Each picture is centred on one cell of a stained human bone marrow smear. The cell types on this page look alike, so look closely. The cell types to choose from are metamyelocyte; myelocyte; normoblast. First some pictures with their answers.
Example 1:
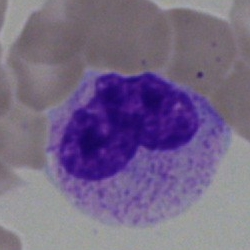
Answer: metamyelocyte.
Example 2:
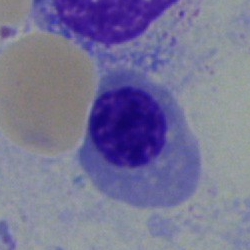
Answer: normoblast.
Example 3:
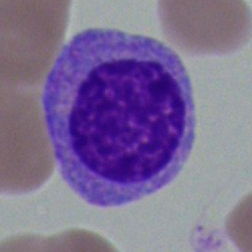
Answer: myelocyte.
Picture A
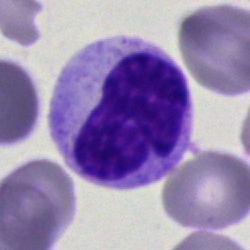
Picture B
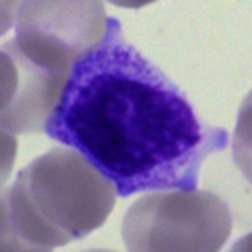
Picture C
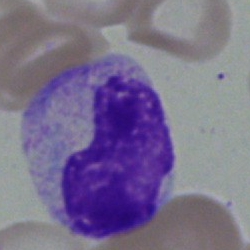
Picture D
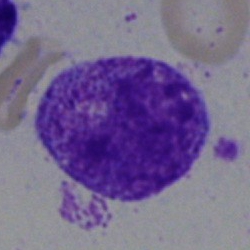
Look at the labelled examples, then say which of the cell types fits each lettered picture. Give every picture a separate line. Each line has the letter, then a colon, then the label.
A: metamyelocyte.
B: myelocyte.
C: metamyelocyte.
D: metamyelocyte.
